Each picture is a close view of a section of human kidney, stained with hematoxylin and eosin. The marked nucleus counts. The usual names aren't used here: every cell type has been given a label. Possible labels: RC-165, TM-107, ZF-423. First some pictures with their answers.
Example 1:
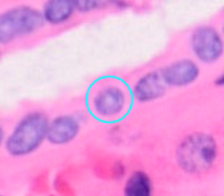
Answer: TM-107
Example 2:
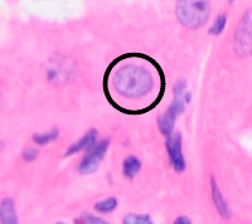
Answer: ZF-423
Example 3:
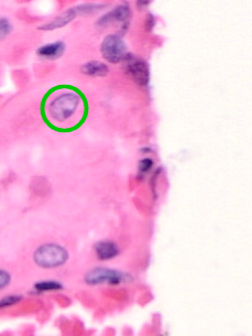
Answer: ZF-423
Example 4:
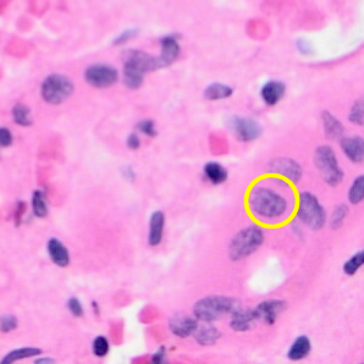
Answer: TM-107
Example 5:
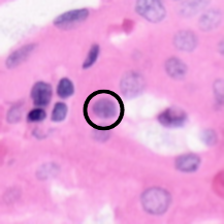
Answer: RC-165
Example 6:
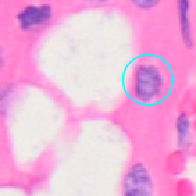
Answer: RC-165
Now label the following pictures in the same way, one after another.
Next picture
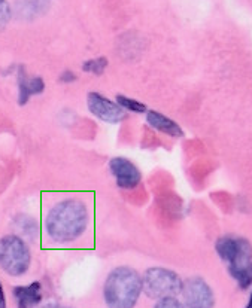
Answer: TM-107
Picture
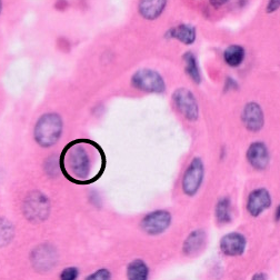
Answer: RC-165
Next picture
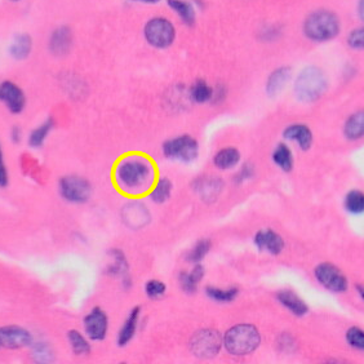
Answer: TM-107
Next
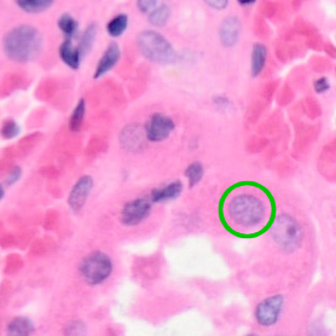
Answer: ZF-423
